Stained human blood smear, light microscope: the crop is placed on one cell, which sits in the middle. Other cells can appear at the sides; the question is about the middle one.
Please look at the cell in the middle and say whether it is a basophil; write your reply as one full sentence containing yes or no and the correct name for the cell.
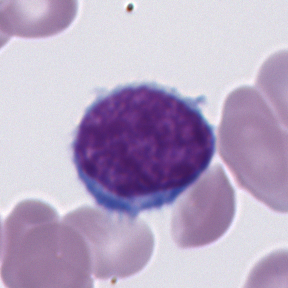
No, rather than a basophil, the central cell is a typical lymphocyte.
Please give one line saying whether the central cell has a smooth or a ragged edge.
The periphery of this cell is uneven, with ragged portions or projections.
